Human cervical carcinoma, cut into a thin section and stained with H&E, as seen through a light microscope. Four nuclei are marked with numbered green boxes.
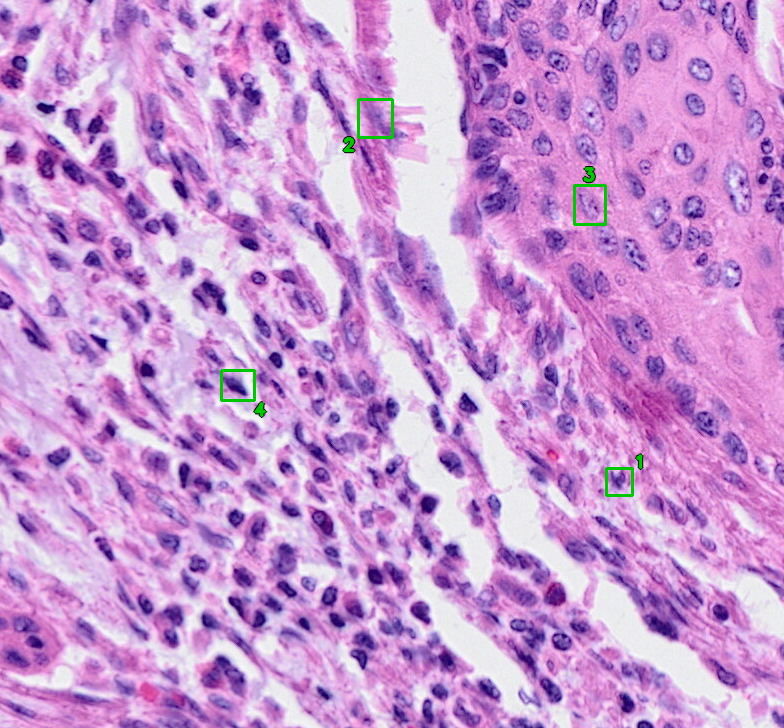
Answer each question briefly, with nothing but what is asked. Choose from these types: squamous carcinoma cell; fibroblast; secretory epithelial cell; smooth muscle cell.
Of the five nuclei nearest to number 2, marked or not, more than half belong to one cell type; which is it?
fibroblast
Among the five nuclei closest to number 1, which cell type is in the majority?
fibroblast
